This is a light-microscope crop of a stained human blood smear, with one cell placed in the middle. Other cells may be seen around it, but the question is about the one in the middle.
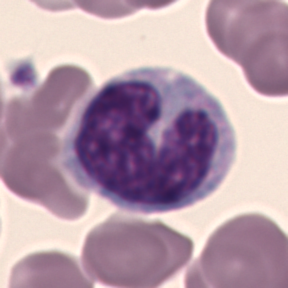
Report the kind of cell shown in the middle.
monocyte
